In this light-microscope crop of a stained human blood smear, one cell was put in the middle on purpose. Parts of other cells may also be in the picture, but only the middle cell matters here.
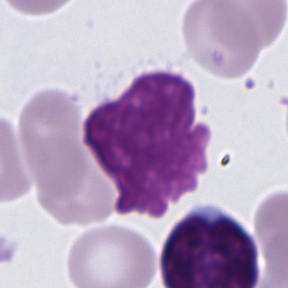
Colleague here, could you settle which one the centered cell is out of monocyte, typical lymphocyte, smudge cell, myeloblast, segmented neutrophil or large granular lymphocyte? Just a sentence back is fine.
The cell at the centre of the field is a smudge cell.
